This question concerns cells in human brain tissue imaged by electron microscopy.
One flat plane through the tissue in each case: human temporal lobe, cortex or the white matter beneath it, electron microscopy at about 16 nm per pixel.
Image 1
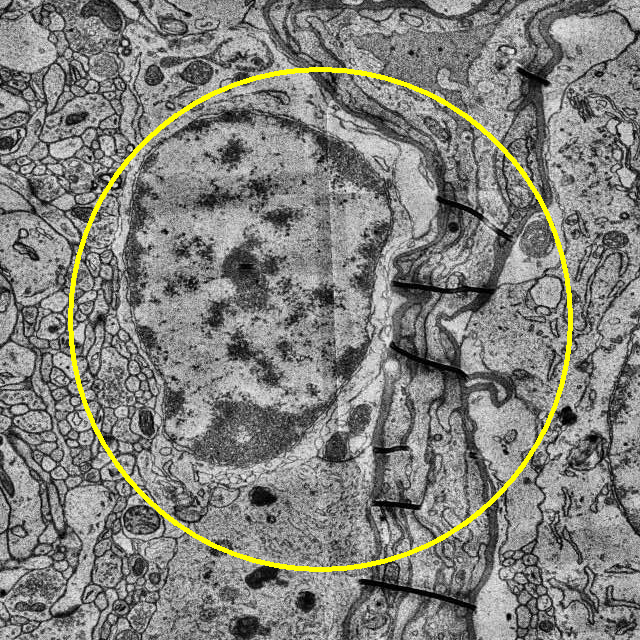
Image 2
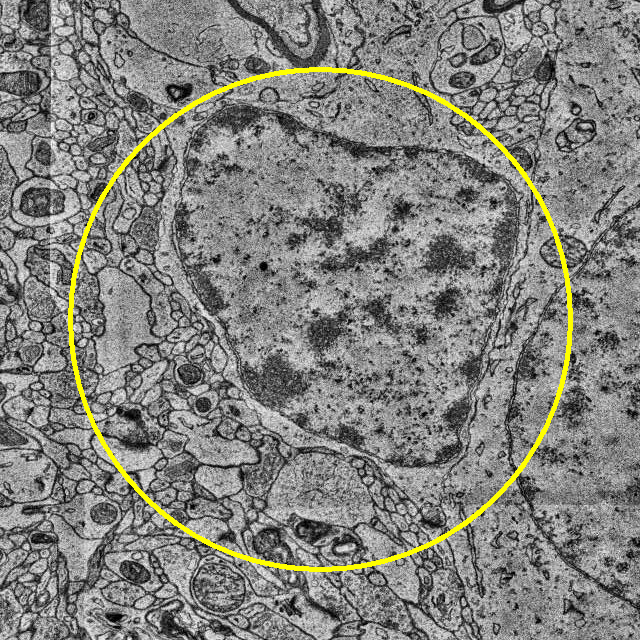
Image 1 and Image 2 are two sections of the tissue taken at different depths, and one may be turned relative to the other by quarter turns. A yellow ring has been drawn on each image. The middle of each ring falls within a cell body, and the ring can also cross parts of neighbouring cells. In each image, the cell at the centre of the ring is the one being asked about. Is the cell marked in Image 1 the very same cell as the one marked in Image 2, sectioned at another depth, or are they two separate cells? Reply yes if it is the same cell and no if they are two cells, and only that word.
yes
